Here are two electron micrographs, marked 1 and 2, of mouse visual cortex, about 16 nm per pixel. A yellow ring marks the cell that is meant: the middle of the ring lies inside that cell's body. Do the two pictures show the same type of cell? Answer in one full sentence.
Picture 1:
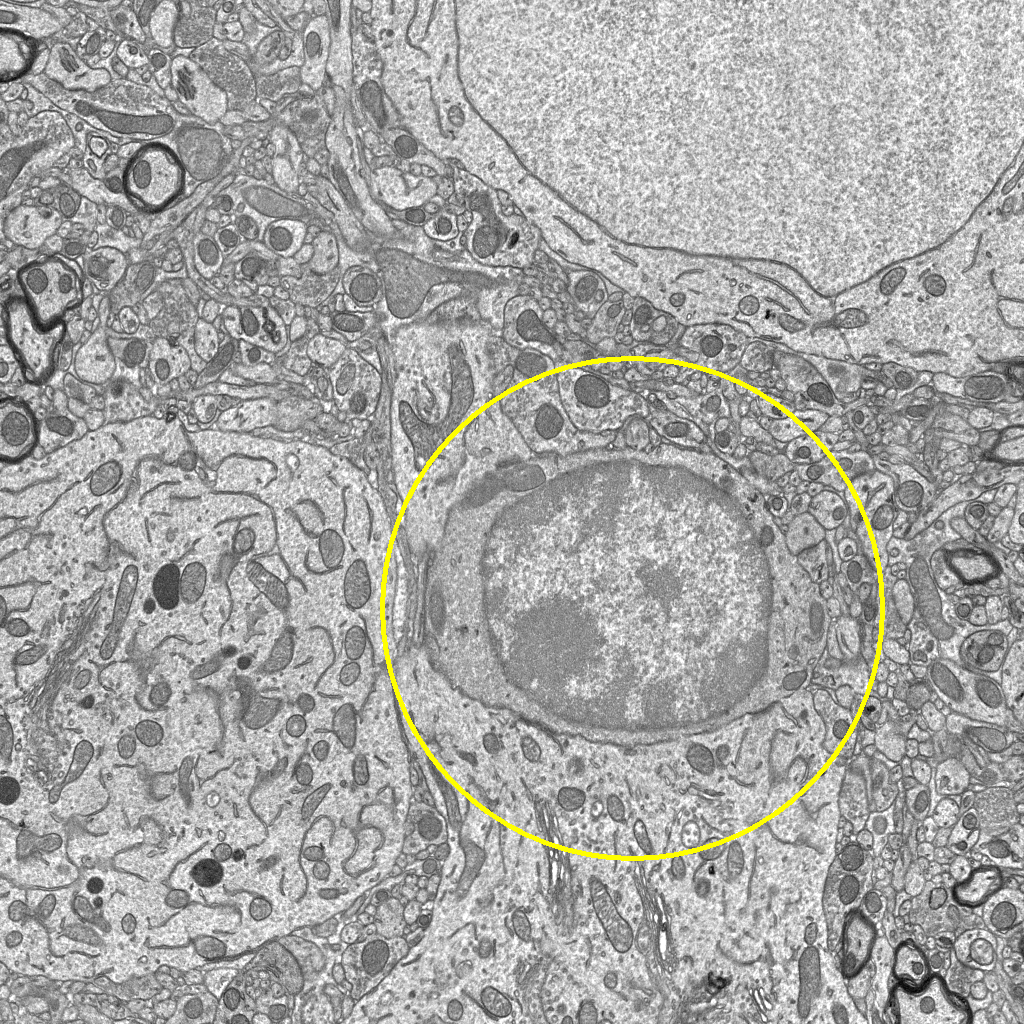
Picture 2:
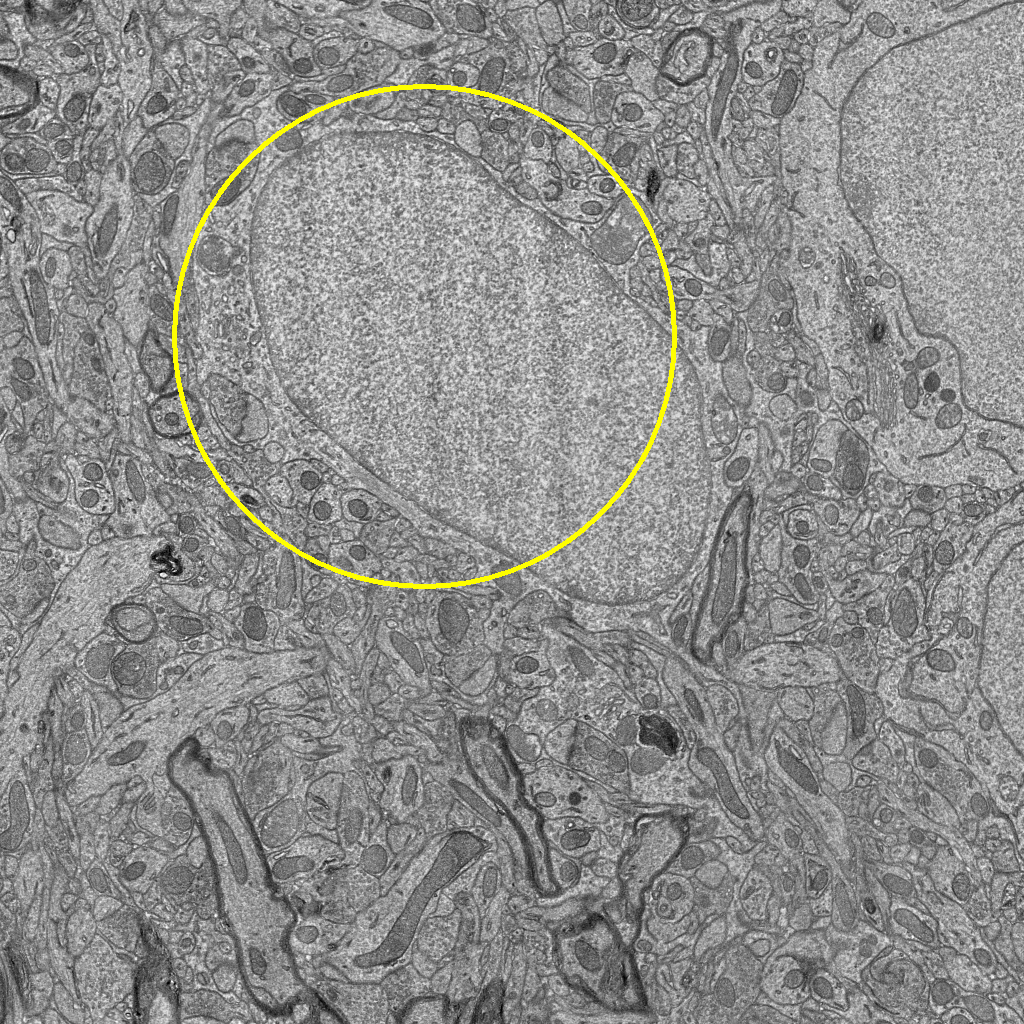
No. Picture 1 shows an oligodendrocyte, but picture 2 shows an astrocyte.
